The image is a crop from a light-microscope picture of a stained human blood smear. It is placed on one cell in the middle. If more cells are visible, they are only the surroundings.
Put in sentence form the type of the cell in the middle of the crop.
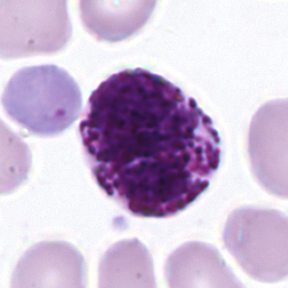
The central cell in this smear crop is a basophil.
